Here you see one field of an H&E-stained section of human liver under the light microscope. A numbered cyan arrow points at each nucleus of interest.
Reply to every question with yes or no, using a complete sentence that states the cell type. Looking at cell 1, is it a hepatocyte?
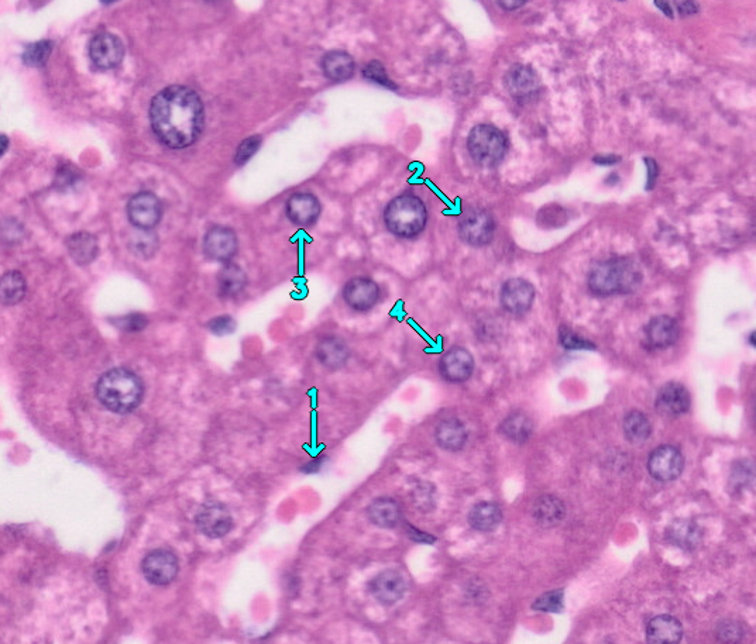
No, in terms of cell type, cell 1 is an endothelial cell, not a hepatocyte.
